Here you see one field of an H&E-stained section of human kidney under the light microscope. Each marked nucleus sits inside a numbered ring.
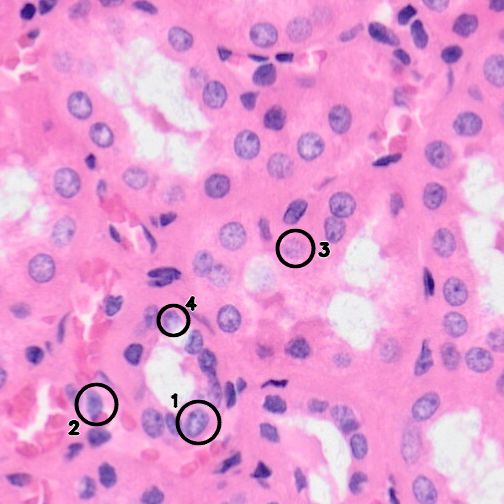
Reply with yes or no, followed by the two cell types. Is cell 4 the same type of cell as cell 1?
Yes, the cells numbered 4 and 1 are both collecting duct cells.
